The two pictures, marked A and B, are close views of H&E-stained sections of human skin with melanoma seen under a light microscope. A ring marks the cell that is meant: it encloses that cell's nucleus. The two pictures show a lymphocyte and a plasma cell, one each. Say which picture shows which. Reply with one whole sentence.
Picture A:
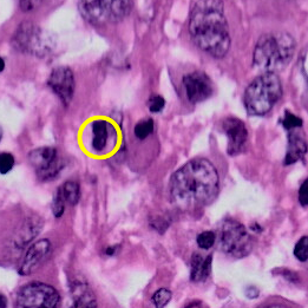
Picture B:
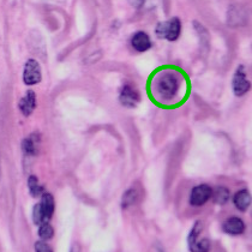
In picture A the cell is a lymphocyte; in picture B, a plasma cell.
